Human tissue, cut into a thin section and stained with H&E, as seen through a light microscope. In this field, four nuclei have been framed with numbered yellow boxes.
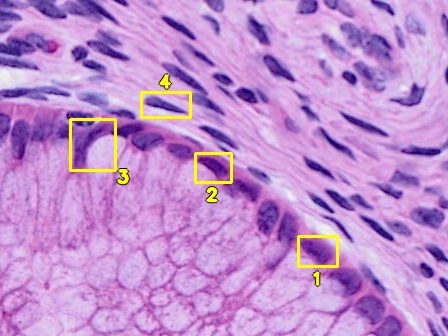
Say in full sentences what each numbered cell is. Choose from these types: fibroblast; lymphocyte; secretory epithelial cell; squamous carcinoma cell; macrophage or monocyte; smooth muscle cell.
Cell 1 is a secretory epithelial cell, cell 2 is a secretory epithelial cell, cell 3 is a secretory epithelial cell and cell 4 is a fibroblast.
